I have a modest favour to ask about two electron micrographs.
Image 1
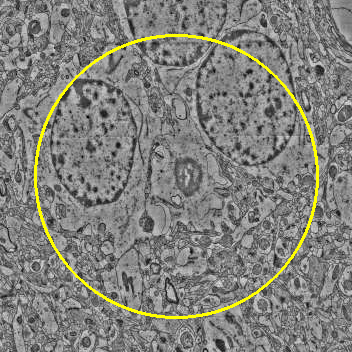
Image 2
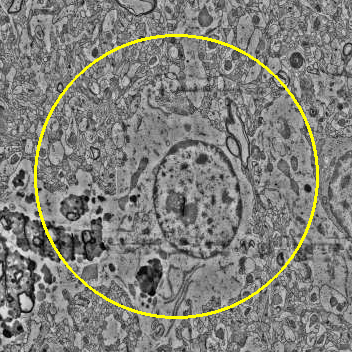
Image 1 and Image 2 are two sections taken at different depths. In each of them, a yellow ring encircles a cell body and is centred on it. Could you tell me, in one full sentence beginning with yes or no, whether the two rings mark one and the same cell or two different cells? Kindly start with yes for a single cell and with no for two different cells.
No, it is two different cells that the rings mark.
